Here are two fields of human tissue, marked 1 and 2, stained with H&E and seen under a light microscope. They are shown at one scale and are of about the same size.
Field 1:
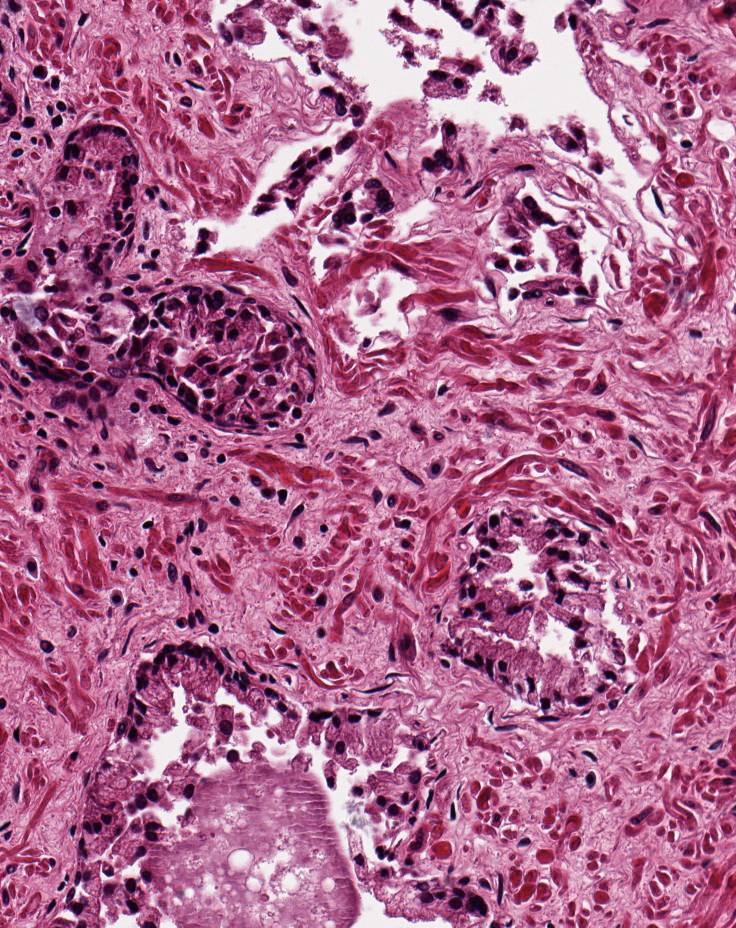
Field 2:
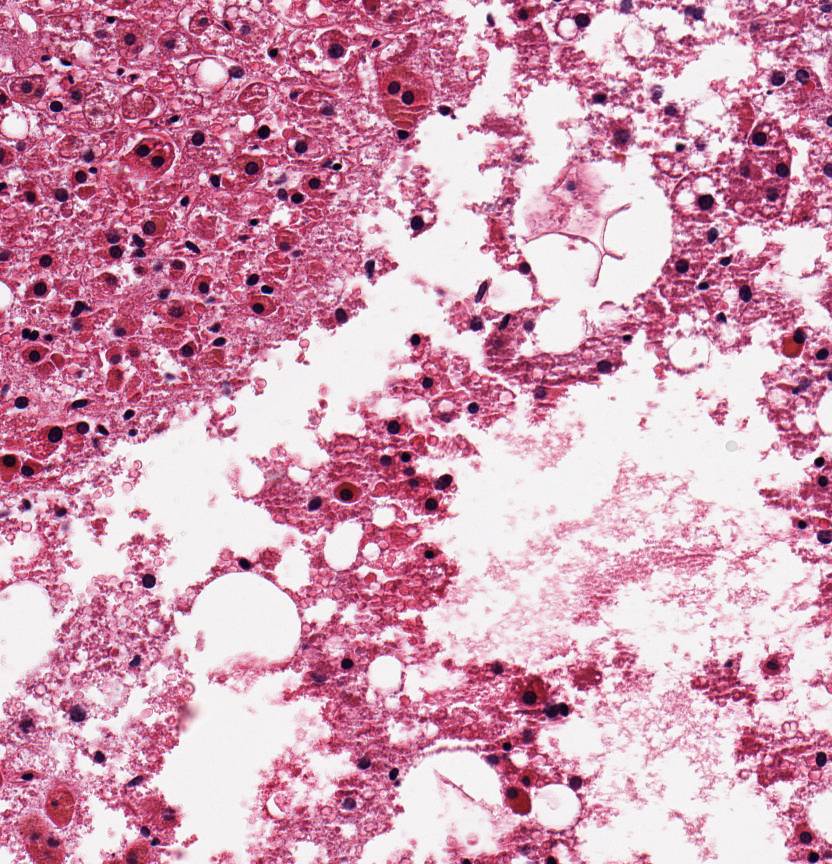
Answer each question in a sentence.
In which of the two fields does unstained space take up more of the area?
Unstained space takes up more of field 2 than of field 1.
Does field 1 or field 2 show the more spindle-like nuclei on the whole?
It is field 1 whose nuclei are the more elongated.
